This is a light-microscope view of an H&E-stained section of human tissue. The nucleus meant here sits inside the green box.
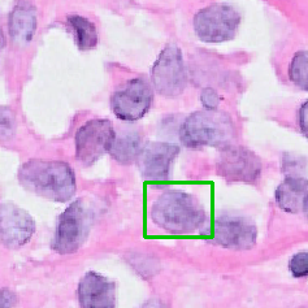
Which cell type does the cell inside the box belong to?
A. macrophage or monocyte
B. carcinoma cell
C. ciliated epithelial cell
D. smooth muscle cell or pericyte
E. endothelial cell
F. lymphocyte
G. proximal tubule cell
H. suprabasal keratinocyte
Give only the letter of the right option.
B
